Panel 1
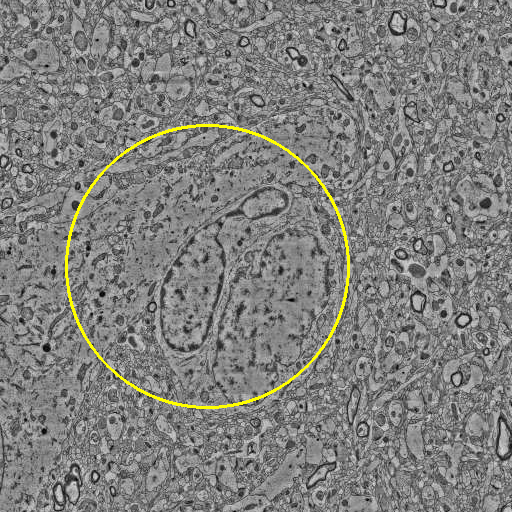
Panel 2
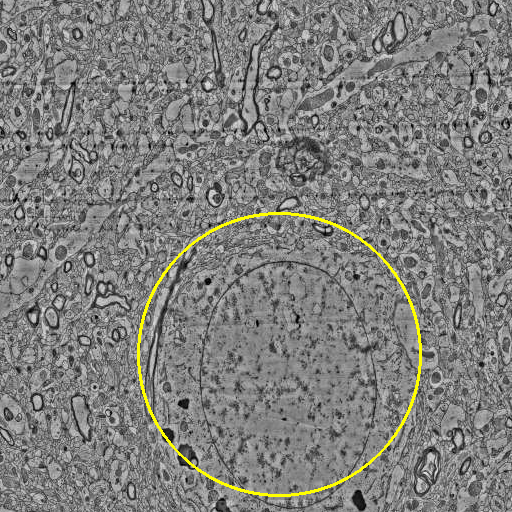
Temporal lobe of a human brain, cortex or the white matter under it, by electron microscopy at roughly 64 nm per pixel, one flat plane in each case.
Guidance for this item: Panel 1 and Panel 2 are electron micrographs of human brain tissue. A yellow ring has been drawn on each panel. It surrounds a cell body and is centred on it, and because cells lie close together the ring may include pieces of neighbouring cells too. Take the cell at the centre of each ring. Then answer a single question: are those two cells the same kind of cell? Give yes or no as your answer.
no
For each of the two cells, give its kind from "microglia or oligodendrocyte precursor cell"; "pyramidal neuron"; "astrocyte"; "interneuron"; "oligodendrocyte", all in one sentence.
The first picture has a microglial cell or oligodendrocyte precursor cell in its ring, the second has a pyramidal neuron.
